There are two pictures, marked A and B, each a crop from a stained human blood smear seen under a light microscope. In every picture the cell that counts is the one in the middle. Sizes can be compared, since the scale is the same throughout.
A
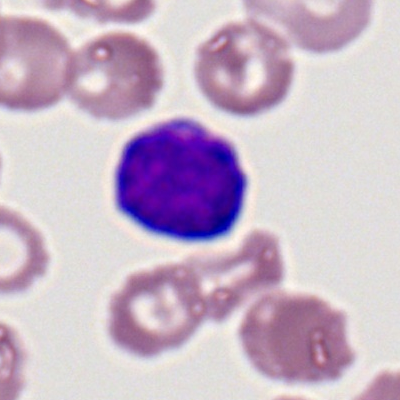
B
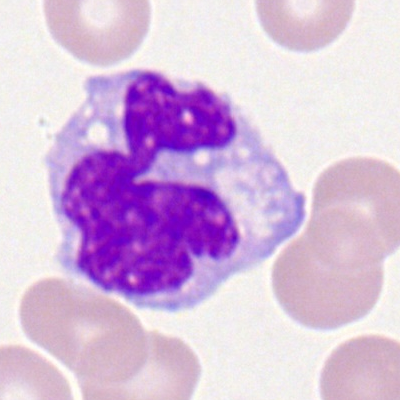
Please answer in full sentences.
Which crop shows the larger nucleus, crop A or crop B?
Larger is the nucleus in crop B, at roughly 2 times the area of the other.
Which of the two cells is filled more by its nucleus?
It is the cell in crop A that is filled more by its nucleus.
